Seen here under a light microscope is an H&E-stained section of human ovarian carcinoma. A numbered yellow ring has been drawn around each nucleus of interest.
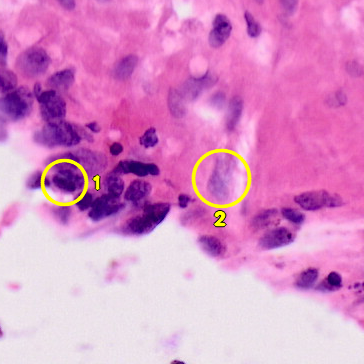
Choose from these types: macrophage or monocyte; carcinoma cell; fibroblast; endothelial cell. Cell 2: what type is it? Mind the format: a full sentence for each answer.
Number 2 among the marked cells is a fibroblast.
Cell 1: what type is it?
The cell tagged with 1 in this tissue section is a carcinoma cell.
